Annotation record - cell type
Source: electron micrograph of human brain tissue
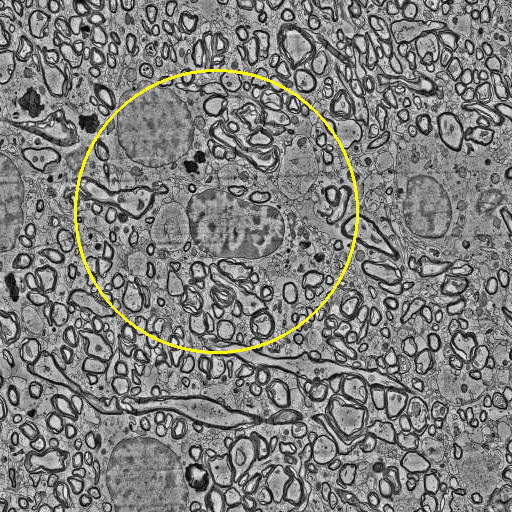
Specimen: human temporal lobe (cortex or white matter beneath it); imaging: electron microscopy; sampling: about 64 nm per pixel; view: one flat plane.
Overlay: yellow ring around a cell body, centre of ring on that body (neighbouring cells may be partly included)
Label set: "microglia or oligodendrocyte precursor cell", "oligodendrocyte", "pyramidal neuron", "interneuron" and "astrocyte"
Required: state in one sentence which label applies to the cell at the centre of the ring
This cell should be labelled as a microglial cell or oligodendrocyte precursor cell.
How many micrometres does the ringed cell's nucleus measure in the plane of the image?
Approximately 6 micrometres long and 4 micrometres wide, in this plane.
